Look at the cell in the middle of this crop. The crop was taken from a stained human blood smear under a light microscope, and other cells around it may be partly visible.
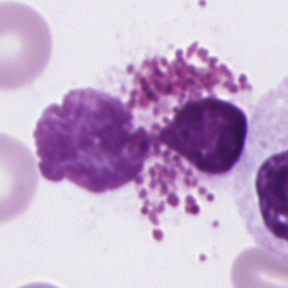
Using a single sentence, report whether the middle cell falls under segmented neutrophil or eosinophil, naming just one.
Standing at the centre of this crop is an eosinophil.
